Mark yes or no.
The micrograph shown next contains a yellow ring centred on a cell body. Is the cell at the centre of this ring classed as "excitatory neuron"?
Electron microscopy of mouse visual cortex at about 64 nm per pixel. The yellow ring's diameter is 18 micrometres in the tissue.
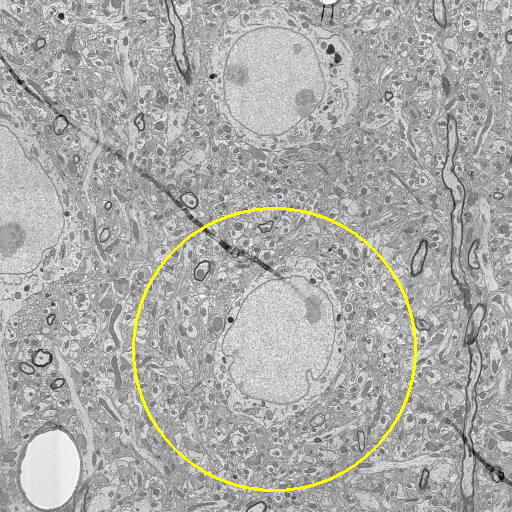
yes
